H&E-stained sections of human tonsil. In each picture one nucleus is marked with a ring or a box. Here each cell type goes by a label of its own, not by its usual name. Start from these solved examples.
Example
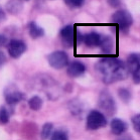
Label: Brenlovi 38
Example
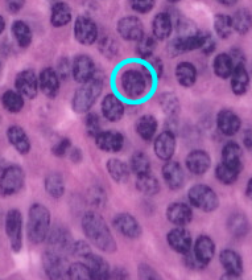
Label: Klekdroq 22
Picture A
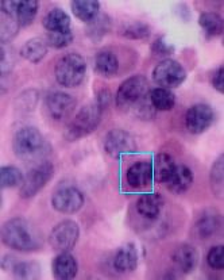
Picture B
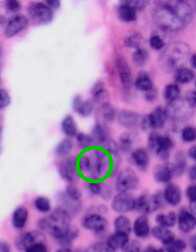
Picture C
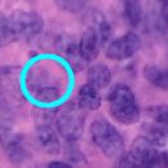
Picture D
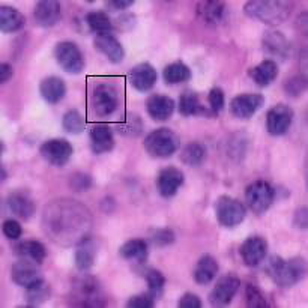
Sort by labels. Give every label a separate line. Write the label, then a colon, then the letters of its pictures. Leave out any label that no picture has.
Brenlovi 38: B, C
Klekdroq 22: A, D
